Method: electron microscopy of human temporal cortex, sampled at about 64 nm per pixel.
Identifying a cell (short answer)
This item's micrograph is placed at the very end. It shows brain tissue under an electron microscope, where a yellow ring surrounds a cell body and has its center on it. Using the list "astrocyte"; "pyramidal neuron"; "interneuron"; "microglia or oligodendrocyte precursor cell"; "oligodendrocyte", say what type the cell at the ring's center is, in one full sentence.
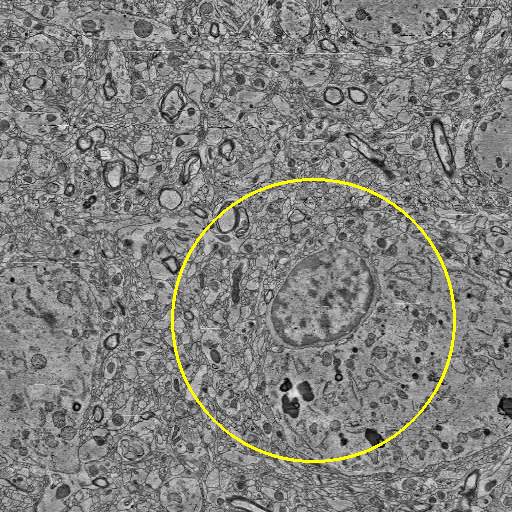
This picture shows an oligodendrocyte at the center of the yellow ring drawn on it.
